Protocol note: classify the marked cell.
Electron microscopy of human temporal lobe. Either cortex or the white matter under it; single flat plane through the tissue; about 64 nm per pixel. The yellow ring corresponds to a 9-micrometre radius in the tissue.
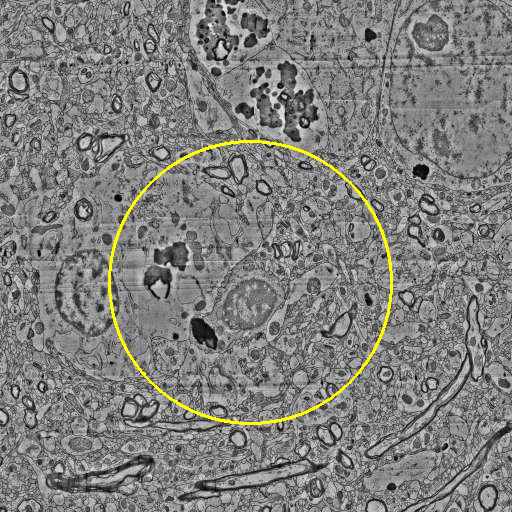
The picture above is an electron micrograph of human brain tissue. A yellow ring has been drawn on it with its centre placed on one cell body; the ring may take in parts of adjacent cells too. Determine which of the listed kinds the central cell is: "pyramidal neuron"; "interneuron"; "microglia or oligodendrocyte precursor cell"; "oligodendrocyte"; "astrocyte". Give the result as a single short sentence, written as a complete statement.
The central cell is an oligodendrocyte.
